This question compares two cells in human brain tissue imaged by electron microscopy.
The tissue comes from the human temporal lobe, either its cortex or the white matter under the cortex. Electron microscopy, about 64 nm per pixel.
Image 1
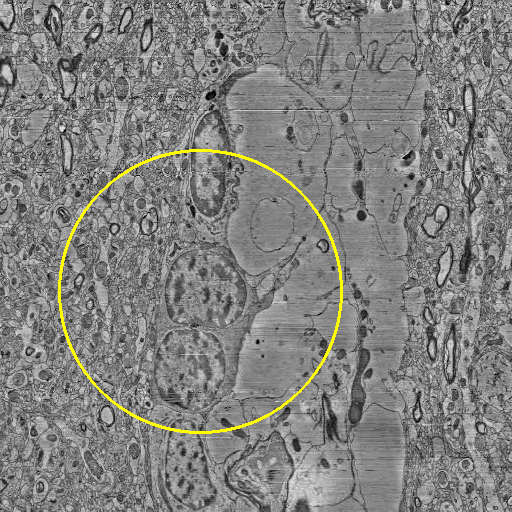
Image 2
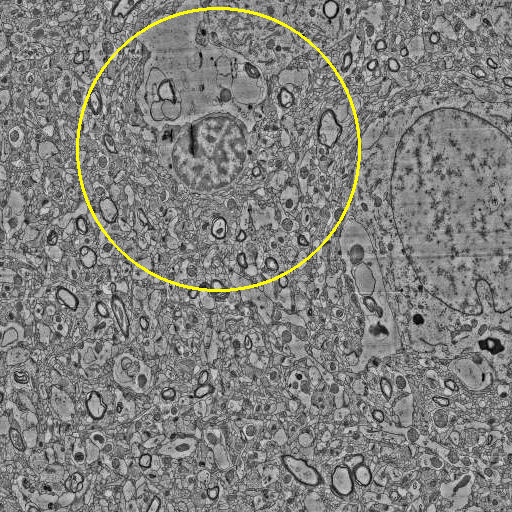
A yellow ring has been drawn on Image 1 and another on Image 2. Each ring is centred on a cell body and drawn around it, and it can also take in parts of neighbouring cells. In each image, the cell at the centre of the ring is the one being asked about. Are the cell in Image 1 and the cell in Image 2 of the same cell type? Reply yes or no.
yes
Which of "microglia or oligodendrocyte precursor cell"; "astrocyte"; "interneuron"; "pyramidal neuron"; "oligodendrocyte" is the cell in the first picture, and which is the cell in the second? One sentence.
Each cell at the centre of a ring is an oligodendrocyte.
